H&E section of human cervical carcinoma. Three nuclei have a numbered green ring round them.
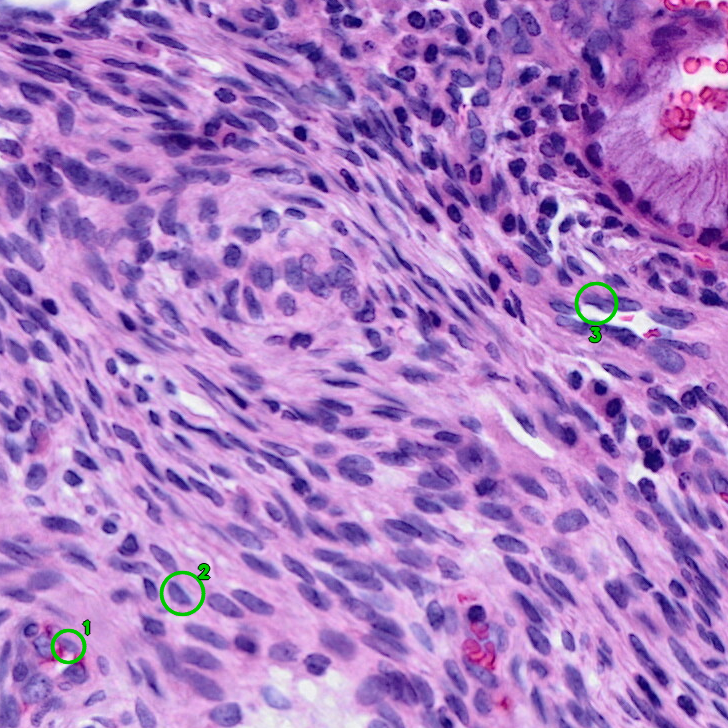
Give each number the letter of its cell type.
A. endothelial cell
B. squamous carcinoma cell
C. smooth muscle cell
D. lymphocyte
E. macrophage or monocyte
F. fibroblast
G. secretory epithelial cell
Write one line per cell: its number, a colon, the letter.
1: A
2: F
3: A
